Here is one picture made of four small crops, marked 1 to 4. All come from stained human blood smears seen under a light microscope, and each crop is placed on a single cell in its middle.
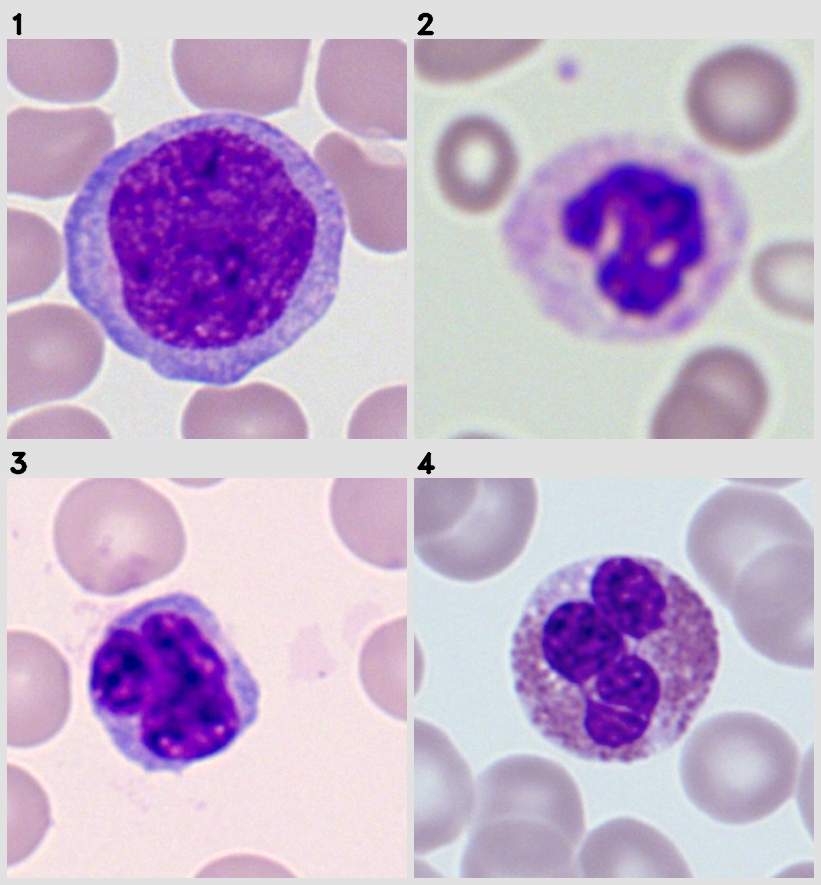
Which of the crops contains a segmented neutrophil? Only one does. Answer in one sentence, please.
Crop 2 is the correct crop, and it shows a segmented neutrophil.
